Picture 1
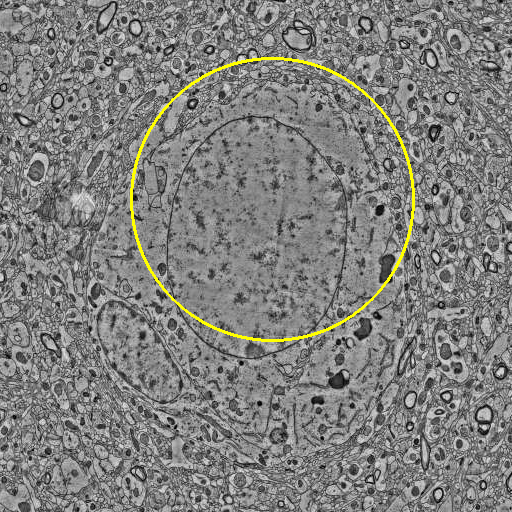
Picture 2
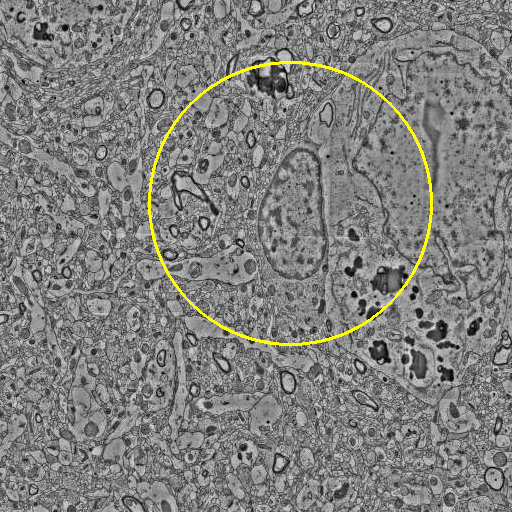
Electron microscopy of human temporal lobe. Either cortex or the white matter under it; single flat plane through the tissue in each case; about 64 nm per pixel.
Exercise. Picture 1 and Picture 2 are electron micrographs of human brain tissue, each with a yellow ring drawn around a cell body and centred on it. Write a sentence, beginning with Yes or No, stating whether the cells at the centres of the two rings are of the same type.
No, the cells at the centres of the rings are of two types.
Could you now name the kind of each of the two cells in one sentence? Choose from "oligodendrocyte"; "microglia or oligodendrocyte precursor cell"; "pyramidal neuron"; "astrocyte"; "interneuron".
The first ring encloses a pyramidal neuron; the second ring encloses an oligodendrocyte.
